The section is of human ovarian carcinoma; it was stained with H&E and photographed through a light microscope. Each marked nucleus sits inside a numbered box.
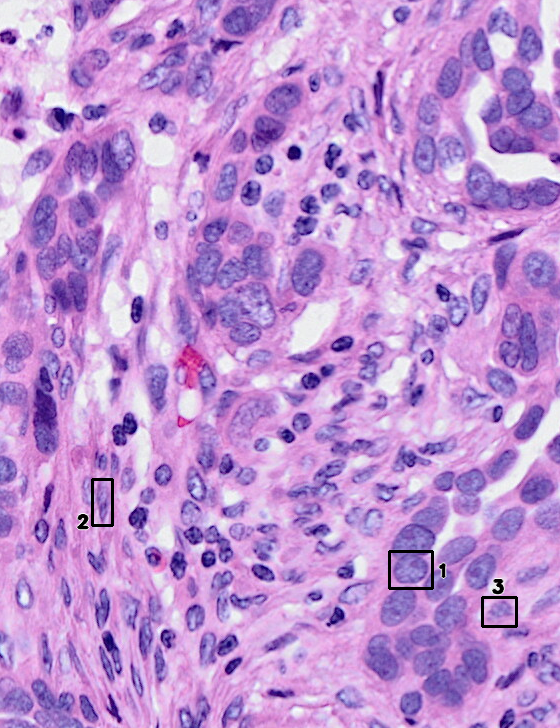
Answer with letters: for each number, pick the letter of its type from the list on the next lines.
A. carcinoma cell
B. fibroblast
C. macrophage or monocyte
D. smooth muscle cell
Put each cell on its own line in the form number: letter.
1: A
2: B
3: B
